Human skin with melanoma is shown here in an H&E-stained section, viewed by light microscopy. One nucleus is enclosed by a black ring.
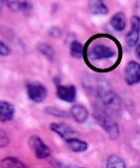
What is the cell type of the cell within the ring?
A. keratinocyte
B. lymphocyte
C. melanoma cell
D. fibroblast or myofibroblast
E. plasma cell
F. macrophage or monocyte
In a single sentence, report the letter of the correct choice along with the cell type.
Exactly as option B gives it, the cell within the ring is a lymphocyte.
